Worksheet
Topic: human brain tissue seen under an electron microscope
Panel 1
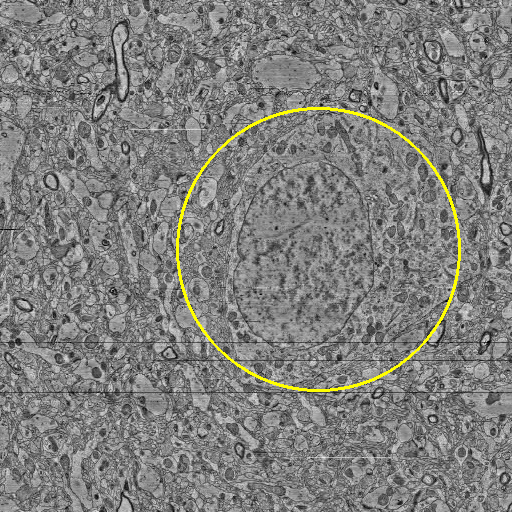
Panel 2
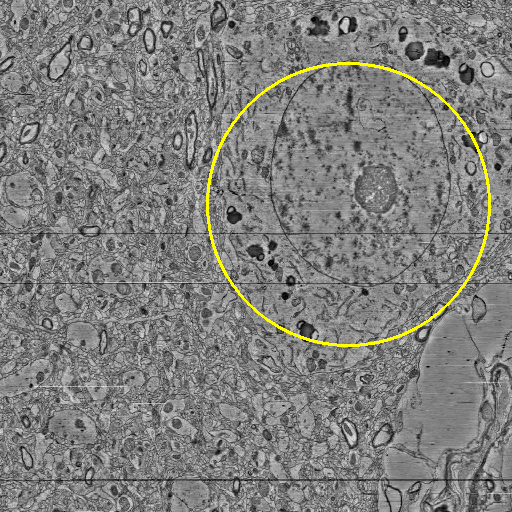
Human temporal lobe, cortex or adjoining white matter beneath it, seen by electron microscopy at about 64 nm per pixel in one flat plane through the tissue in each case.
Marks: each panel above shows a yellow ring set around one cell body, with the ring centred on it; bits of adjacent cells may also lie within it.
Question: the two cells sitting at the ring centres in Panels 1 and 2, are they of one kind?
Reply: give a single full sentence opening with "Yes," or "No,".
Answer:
No, the two ring-centre cells in Panel 1 and Panel 2 are of two kinds.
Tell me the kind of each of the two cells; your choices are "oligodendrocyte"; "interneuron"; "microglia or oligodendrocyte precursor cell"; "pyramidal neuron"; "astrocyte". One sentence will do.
The ringed cell is an interneuron in the first picture and a pyramidal neuron in the second picture.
